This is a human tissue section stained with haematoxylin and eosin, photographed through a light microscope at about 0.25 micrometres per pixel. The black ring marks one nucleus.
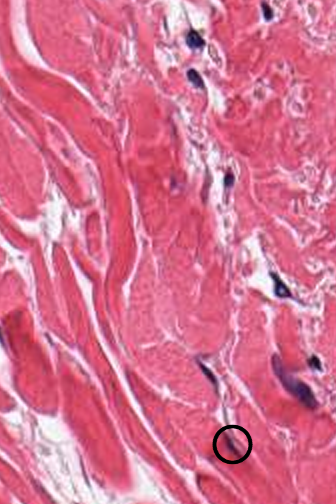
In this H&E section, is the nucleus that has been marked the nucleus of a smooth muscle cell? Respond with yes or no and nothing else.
no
